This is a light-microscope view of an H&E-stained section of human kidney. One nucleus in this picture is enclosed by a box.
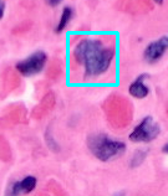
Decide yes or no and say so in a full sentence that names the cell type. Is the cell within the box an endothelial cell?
Yes, to put it simply, the cell within the box is an endothelial cell.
